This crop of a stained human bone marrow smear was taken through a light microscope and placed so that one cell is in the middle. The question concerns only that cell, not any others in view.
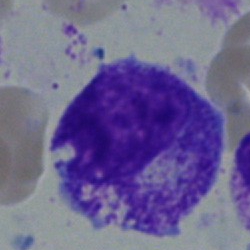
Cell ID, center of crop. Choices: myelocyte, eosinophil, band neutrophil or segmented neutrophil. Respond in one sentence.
Standing at the centre of this crop is a myelocyte.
